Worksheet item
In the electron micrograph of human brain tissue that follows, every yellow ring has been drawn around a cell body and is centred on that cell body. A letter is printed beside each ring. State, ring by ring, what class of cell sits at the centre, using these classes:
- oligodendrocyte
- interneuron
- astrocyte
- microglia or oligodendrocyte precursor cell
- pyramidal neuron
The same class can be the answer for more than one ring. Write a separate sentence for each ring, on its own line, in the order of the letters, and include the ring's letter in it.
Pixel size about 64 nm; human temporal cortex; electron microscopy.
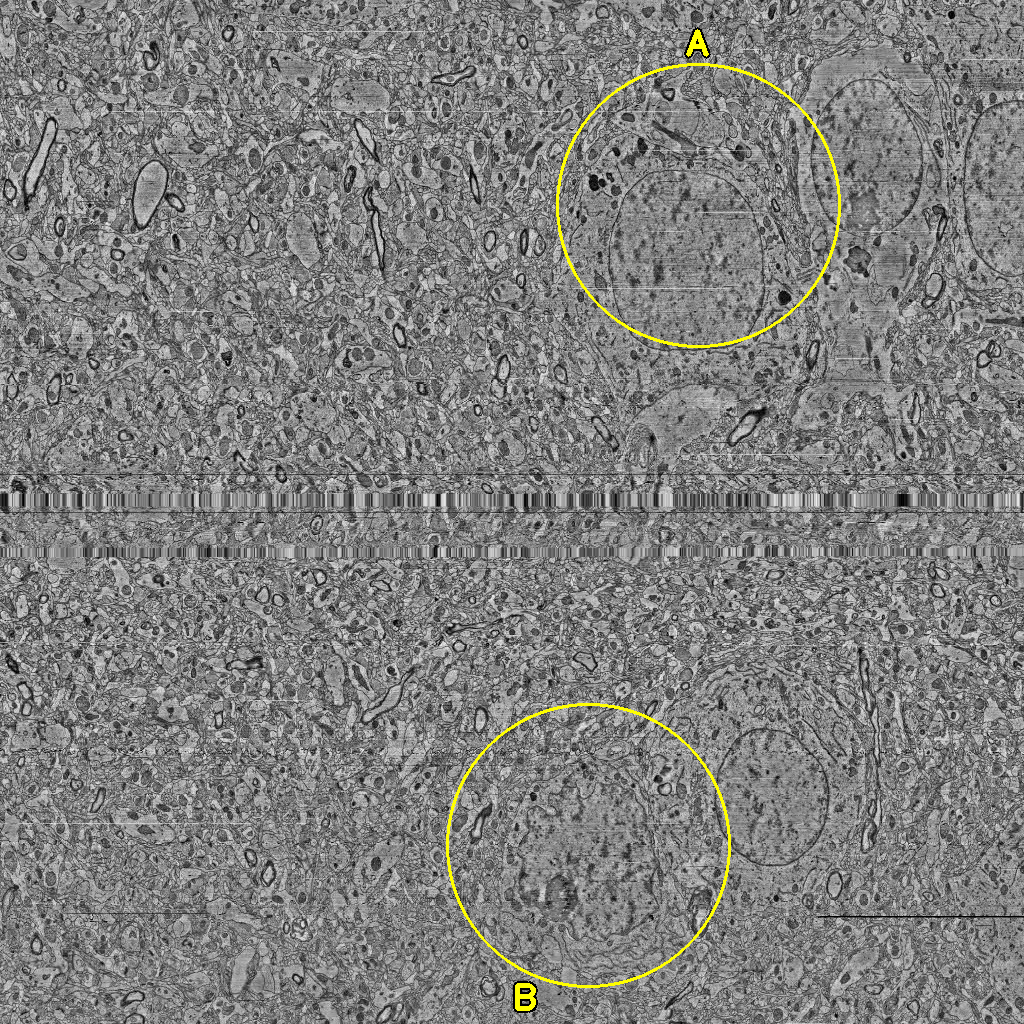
At the centre of ring A sits a pyramidal neuron.
At the centre of ring B sits an interneuron.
